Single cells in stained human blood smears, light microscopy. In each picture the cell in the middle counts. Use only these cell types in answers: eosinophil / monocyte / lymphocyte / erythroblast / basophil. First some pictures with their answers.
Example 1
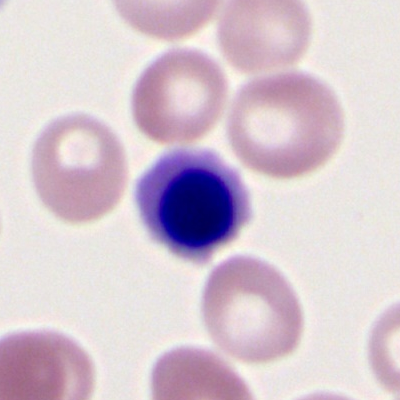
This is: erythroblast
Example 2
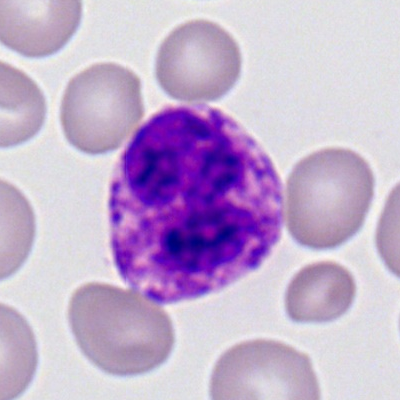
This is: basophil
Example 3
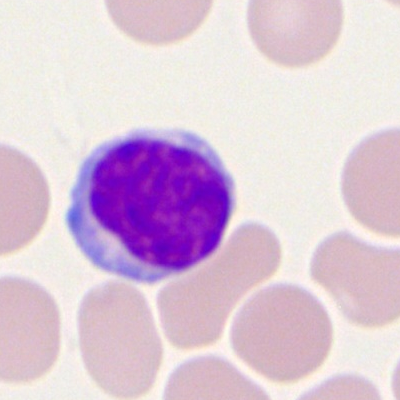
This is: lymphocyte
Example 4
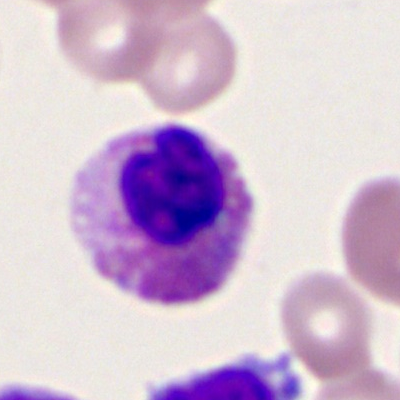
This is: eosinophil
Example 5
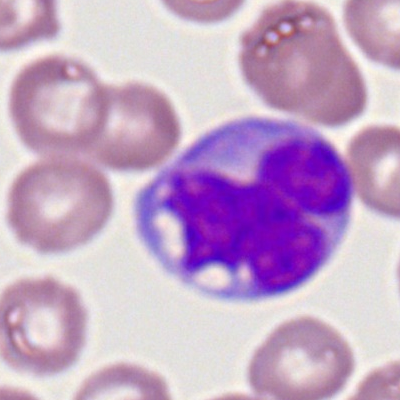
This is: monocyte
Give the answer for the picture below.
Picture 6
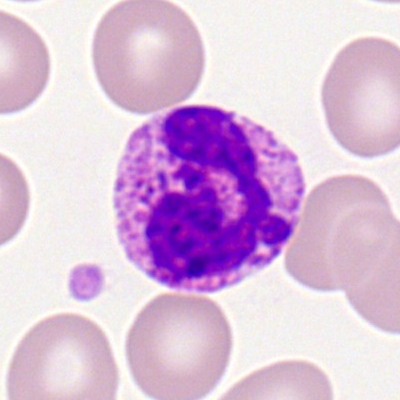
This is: basophil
